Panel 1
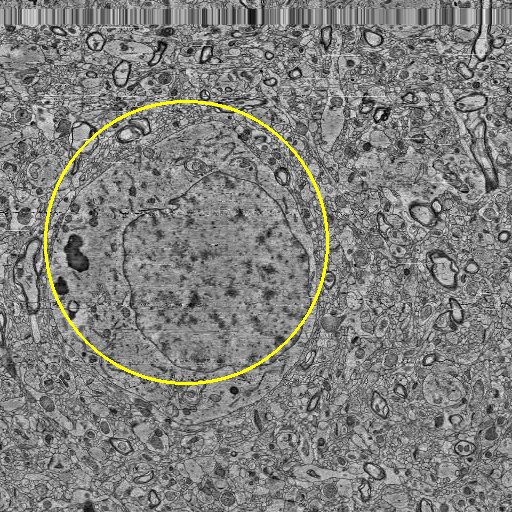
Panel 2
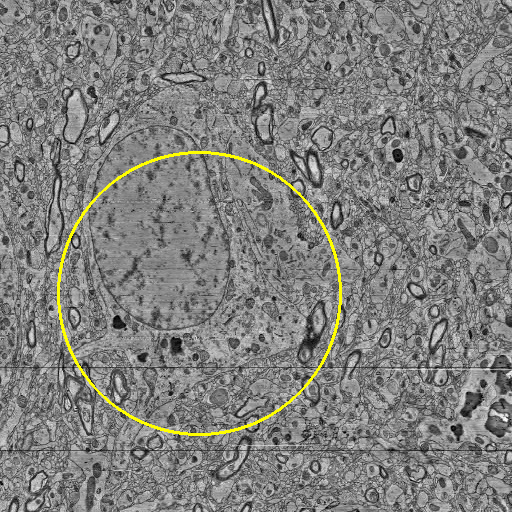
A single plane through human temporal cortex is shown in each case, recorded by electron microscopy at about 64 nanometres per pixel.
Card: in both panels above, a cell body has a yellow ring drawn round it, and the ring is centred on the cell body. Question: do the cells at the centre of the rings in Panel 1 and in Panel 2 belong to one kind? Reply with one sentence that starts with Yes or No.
Yes, the cells centred in the rings of Panel 1 and Panel 2 are one kind of cell.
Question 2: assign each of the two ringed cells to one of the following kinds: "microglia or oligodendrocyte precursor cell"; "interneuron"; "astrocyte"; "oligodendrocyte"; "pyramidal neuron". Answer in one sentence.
Each of the two rings surrounds a pyramidal neuron.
